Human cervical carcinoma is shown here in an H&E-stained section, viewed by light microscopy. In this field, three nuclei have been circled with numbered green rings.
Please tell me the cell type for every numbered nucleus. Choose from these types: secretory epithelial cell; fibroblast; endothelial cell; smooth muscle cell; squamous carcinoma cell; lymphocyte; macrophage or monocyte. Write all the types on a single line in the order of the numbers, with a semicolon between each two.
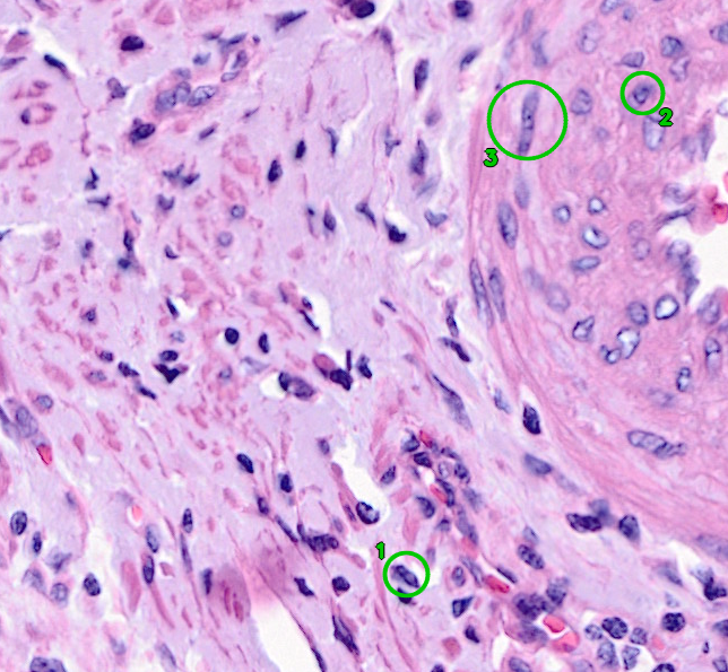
lymphocyte; smooth muscle cell; smooth muscle cell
